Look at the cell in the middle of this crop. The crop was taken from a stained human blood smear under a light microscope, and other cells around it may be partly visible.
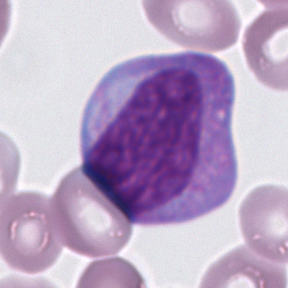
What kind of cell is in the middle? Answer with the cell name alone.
atypical promyelocyte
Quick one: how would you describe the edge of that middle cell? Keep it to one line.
If you check the edge, you will find it smooth without projections.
